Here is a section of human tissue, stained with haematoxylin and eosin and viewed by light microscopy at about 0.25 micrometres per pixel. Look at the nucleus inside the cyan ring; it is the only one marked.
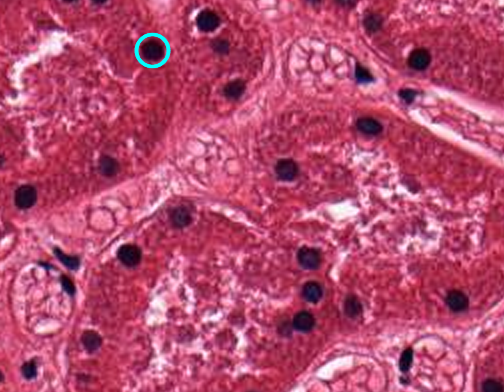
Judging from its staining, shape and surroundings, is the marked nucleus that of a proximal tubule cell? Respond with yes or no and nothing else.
yes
